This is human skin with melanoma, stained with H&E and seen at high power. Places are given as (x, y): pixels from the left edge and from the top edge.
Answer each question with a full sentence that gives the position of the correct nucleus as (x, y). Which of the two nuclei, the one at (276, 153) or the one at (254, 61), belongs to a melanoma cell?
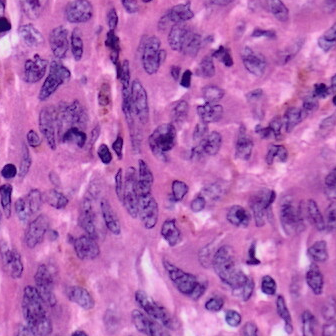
Of the two options, the nucleus at (254, 61) is the one that belongs to a melanoma cell.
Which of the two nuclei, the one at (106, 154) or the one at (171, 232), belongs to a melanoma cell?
Of the two nuclei, the nucleus belonging to a melanoma cell is located at (171, 232).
